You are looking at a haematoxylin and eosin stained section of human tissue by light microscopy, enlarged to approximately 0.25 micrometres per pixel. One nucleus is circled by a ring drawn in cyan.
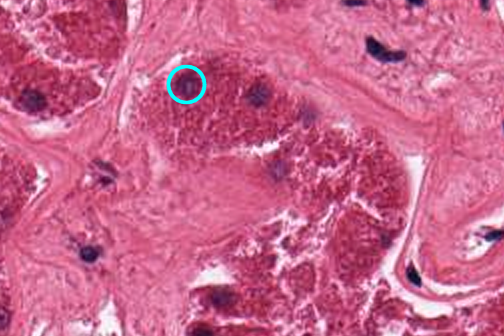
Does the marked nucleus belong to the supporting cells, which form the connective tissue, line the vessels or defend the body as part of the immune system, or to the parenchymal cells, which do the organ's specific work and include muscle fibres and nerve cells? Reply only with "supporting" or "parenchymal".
parenchymal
